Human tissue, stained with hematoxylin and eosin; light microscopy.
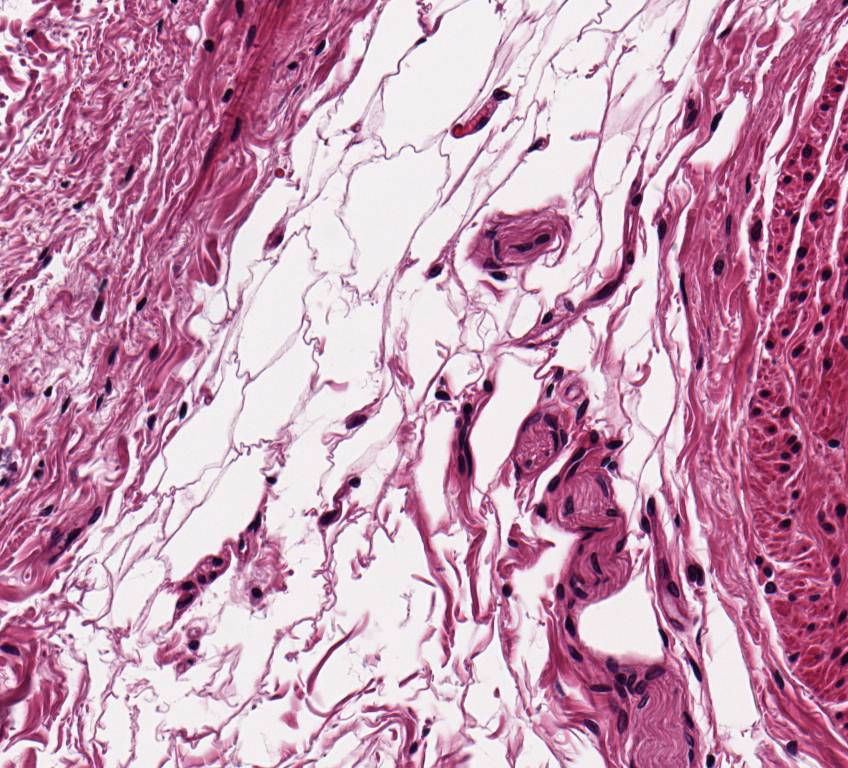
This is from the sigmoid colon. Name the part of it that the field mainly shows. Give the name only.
loose connective tissue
